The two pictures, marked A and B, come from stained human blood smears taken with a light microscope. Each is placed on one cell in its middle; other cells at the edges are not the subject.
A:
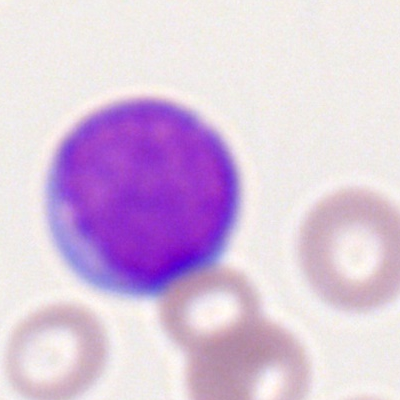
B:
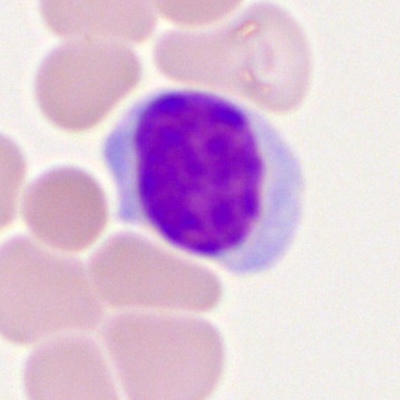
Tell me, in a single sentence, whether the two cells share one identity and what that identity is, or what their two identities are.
No, it is crop A that shows a myeloblast, and crop B shows a lymphocyte.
